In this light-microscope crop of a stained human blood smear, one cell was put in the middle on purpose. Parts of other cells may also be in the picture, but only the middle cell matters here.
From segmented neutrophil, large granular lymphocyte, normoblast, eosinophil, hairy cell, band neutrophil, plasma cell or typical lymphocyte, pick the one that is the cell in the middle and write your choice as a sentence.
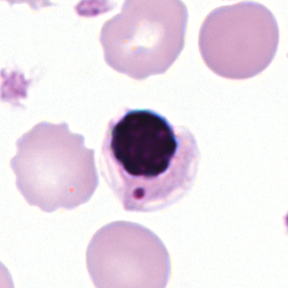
The middle cell in this particular crop is a normoblast.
